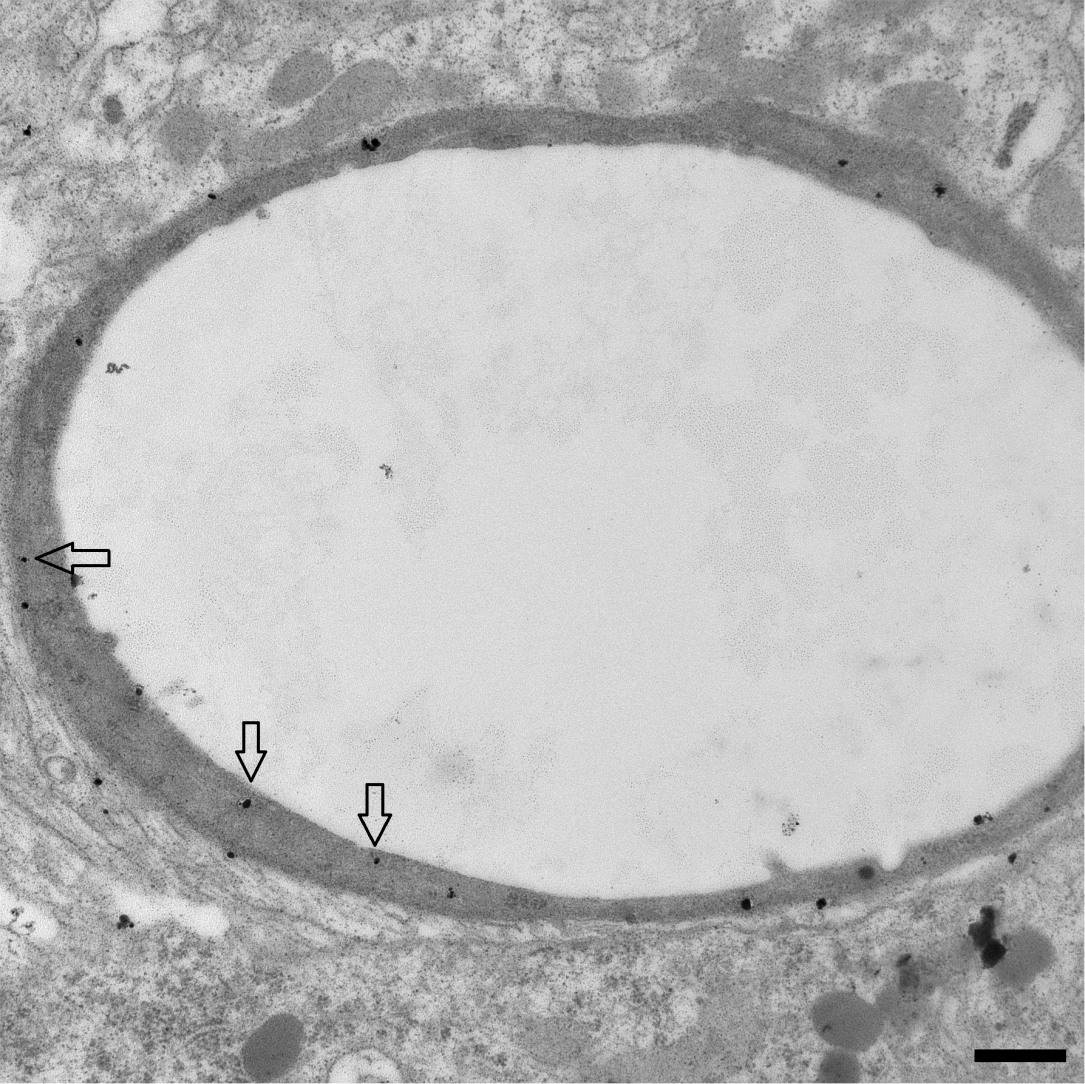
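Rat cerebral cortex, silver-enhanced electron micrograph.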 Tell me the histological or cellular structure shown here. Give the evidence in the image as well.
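Microvessel. A large oval, pale lumen fills the centre. Brain tissue with mitochondria and membranes lies outside the wall.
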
